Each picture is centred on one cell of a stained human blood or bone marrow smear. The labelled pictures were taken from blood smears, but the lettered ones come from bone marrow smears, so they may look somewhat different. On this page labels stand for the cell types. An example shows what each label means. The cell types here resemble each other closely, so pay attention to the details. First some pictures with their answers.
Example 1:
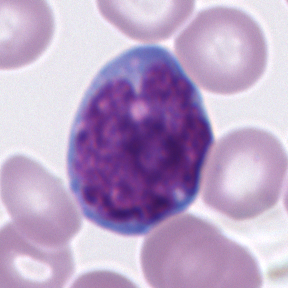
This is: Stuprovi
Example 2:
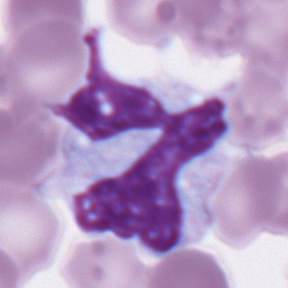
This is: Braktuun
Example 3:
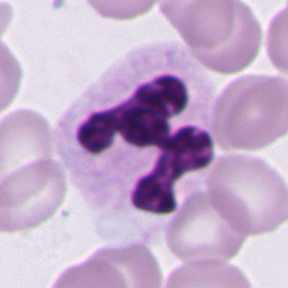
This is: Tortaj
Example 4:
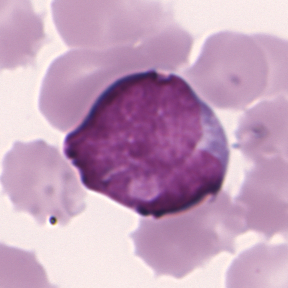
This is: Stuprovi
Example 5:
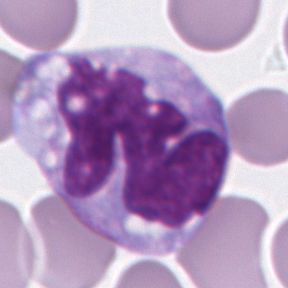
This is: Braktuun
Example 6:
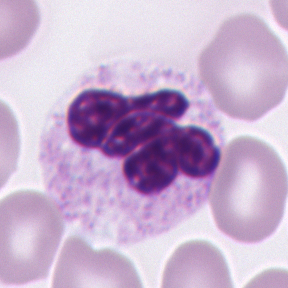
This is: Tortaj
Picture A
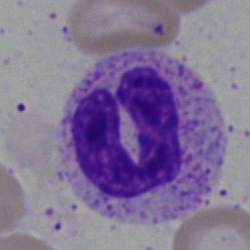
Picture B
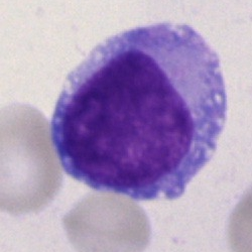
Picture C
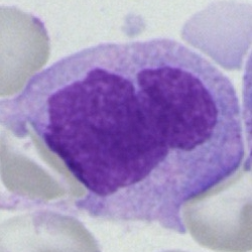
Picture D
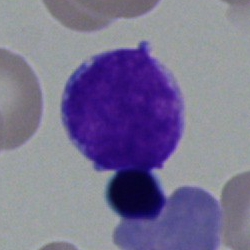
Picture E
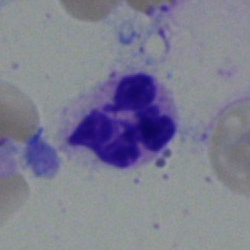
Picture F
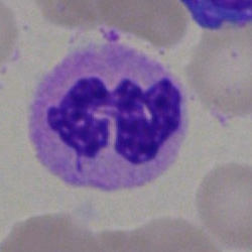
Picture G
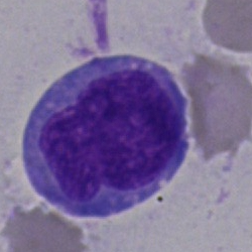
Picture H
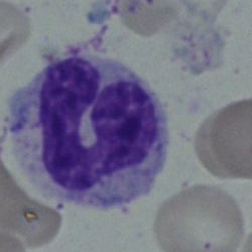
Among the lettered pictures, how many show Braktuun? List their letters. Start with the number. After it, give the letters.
Count: 2 (C, H)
